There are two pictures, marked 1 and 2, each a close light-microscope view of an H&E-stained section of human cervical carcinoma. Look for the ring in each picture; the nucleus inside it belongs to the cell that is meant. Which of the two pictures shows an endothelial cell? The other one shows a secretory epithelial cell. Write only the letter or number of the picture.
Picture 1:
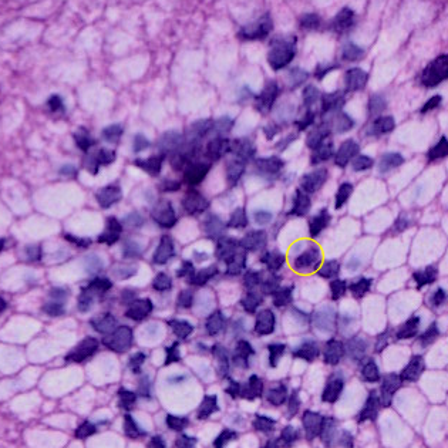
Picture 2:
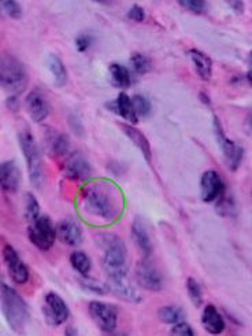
2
